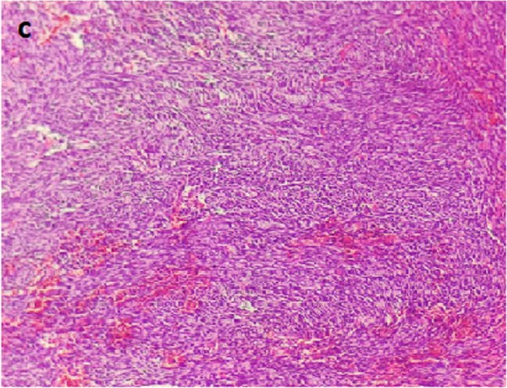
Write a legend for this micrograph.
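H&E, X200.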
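Hypercellular field of closely packed spindle cells with dark purple elongated nuclei, running in sweeping fascicles with little stroma between them. Patches of extravasated red blood cells are scattered among the cells.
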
